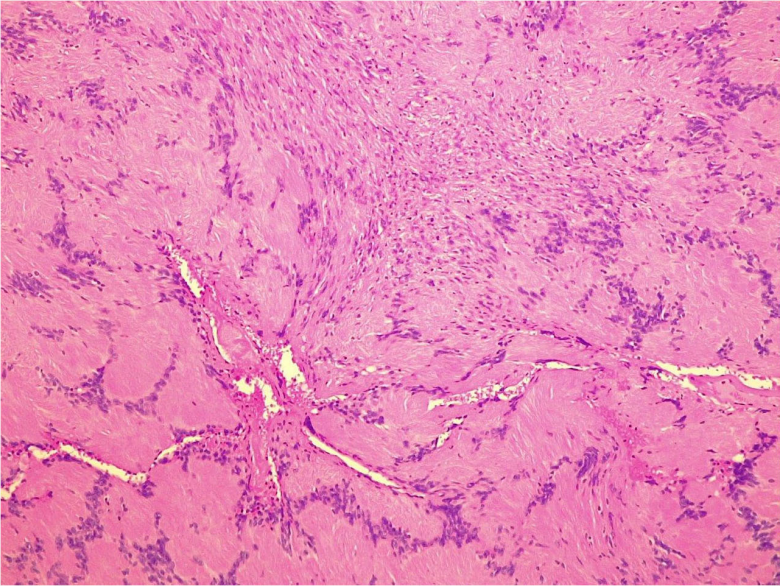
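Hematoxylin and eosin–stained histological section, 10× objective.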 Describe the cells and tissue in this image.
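This is a schwannoma made of spindle cells with elongated, dark purple nuclei arranged in streaming fascicles. The nuclei gather in rows and palisades that border broad zones of pale pink fibrillary material with few nuclei. Thin, slit-like, branching vessels run through the tumour.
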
